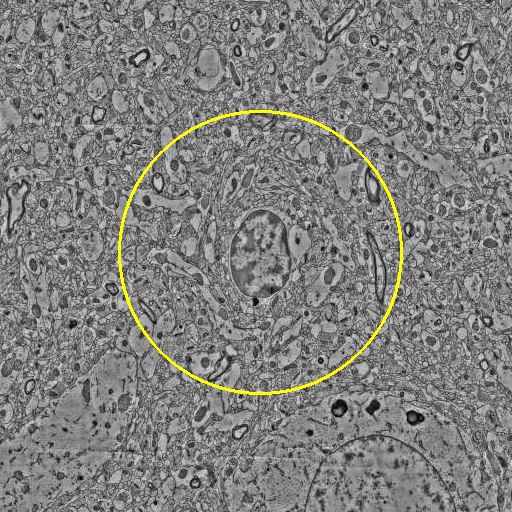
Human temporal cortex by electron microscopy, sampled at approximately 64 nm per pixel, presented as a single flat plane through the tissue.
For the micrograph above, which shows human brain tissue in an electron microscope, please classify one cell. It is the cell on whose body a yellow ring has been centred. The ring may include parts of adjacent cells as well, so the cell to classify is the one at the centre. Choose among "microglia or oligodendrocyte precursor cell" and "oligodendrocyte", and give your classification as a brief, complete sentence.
I classify this cell as a microglial cell or oligodendrocyte precursor cell.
